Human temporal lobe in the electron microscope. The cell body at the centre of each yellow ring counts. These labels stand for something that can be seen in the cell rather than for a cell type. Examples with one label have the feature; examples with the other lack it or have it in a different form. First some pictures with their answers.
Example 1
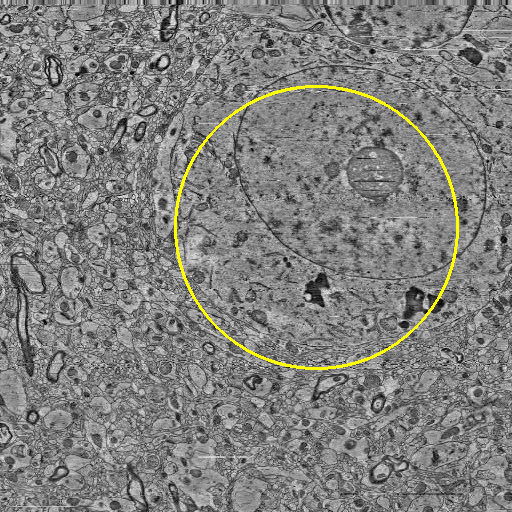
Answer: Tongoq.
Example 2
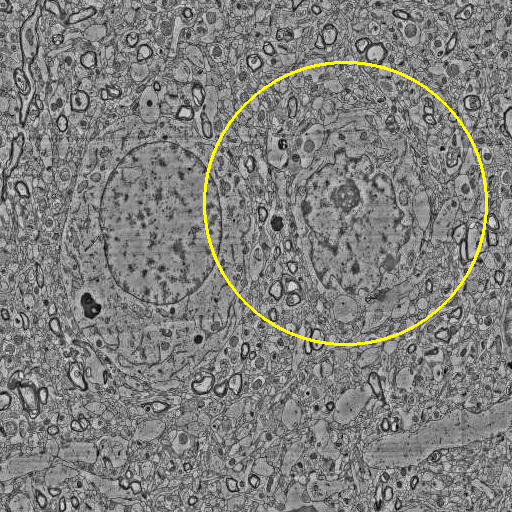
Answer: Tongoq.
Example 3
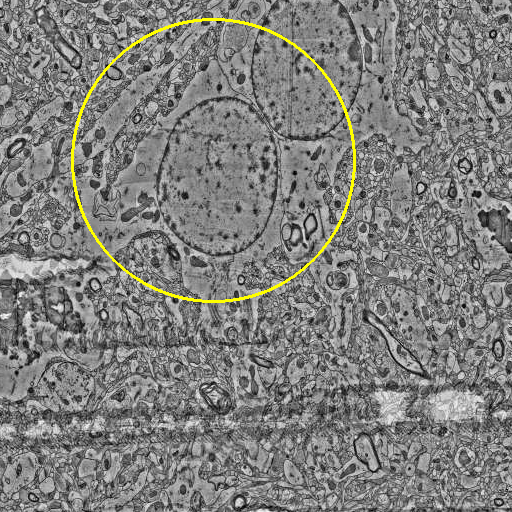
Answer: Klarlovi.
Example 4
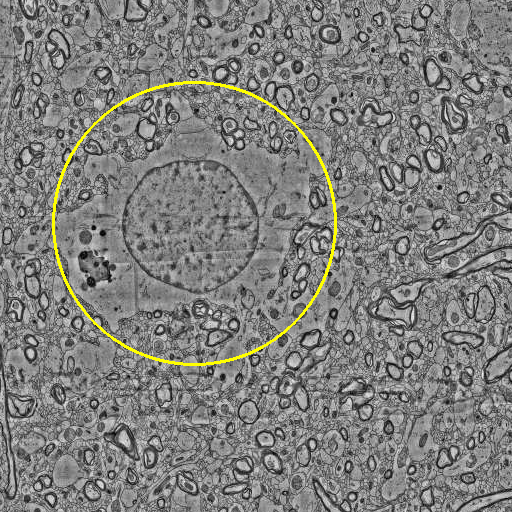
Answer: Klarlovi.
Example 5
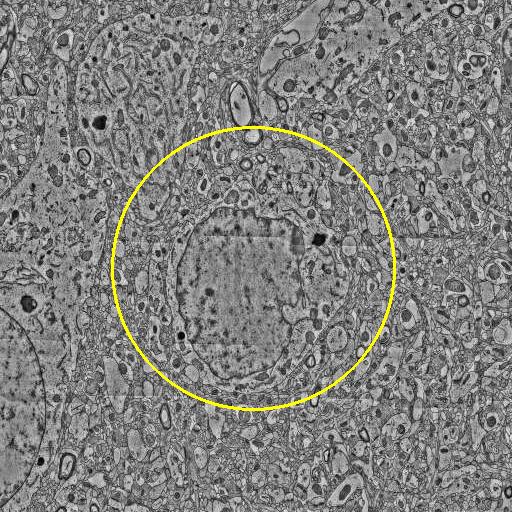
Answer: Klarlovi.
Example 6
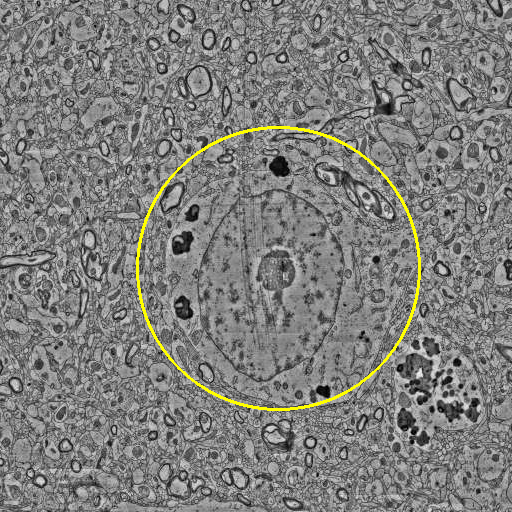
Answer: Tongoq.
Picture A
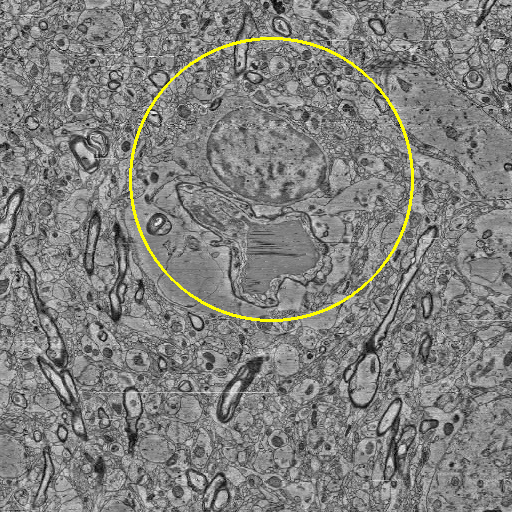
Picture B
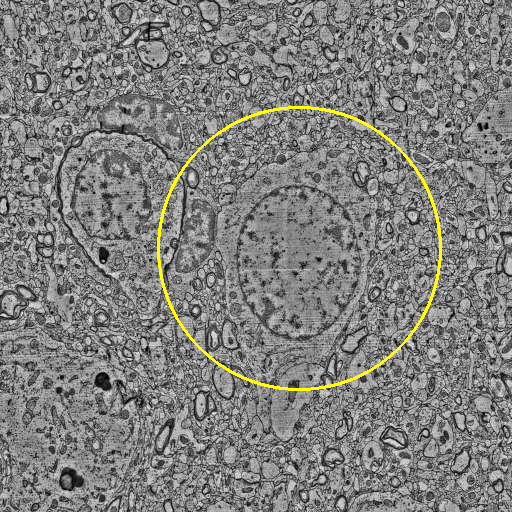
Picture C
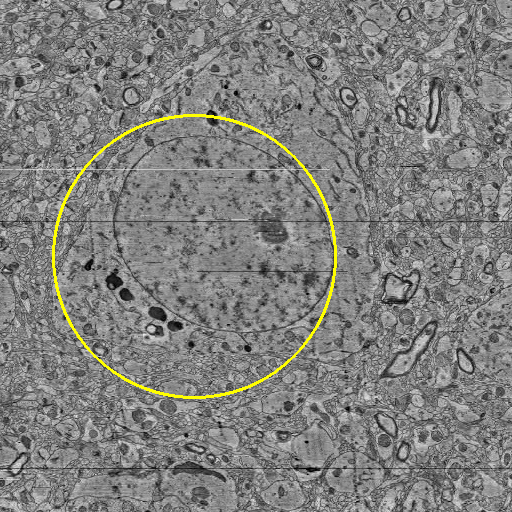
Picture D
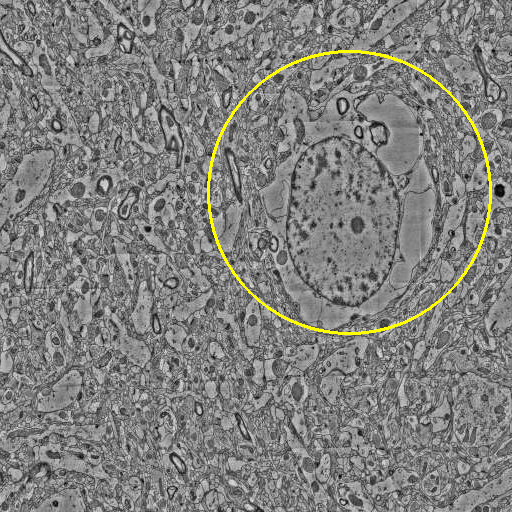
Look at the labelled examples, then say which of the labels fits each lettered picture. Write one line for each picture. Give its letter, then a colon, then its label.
A: Klarlovi.
B: Klarlovi.
C: Tongoq.
D: Tongoq.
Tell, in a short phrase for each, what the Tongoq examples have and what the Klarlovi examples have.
Tongoq: nucleolus seen; Klarlovi: no nucleolus seen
